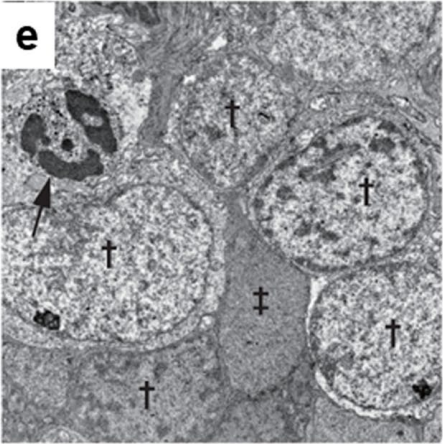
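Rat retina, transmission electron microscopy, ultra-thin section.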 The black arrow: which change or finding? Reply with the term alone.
Pyknotic nucleus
